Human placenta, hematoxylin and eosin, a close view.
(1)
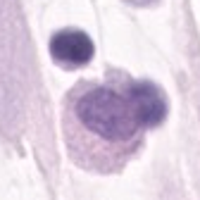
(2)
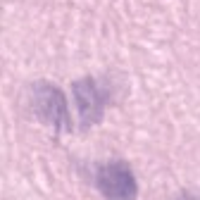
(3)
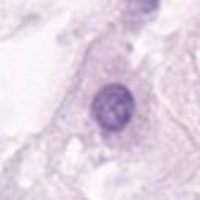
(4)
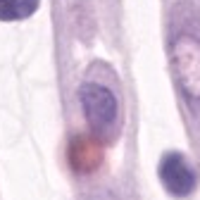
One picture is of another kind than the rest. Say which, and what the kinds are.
Picture 2 shows a vascular myocyte; the rest show maternal decidual cells.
